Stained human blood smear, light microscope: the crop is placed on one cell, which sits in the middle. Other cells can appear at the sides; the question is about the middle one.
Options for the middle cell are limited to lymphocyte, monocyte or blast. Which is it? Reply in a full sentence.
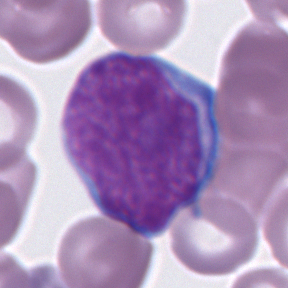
The cell found in the middle of this crop is a blast.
